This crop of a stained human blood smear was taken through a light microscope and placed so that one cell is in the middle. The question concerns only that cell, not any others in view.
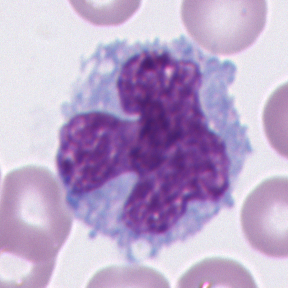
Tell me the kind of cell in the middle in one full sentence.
The cell featured at the centre of this crop is a monocyte.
